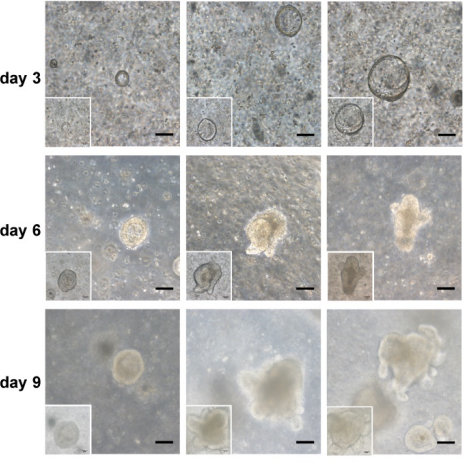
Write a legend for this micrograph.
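In the top row the organoids are small, thin-walled hollow spheres with a clear central lumen, and they are larger in the right-hand columns. In the middle row the organoids have thicker, darker walls, and in the right-hand columns their outlines become irregular with rounded outgrowths. In the bottom row the organoid in the left column is still a smooth round sphere, while those in the other columns are large, lobed structures with several budding protrusions.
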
